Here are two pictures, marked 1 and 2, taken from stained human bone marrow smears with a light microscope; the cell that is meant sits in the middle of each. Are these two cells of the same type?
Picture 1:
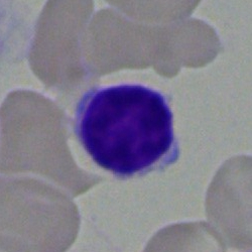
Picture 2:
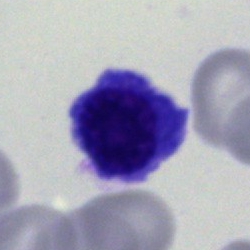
no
